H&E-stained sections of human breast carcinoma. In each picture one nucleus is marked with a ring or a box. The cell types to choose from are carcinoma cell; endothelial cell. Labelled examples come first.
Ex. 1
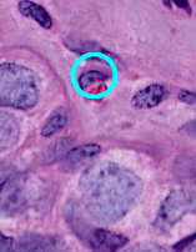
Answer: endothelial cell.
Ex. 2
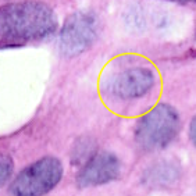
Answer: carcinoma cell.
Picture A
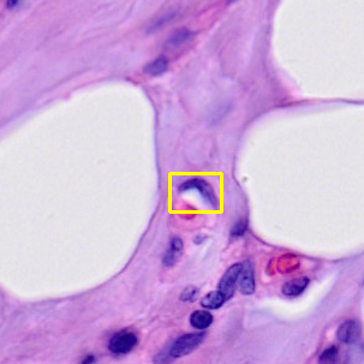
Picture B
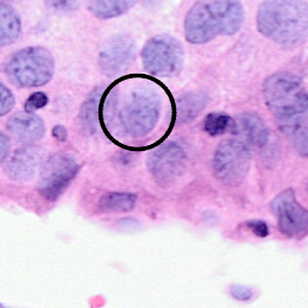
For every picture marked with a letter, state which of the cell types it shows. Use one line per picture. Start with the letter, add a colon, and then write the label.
A: endothelial cell.
B: carcinoma cell.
